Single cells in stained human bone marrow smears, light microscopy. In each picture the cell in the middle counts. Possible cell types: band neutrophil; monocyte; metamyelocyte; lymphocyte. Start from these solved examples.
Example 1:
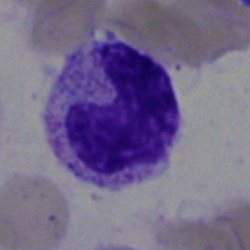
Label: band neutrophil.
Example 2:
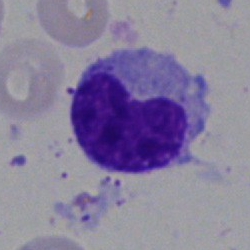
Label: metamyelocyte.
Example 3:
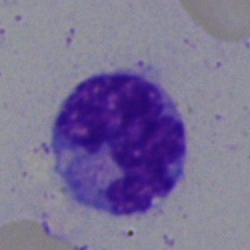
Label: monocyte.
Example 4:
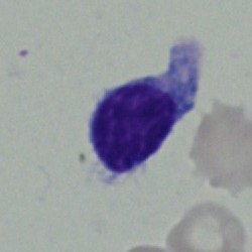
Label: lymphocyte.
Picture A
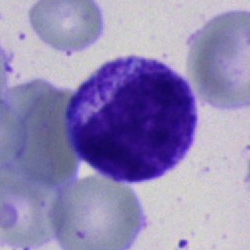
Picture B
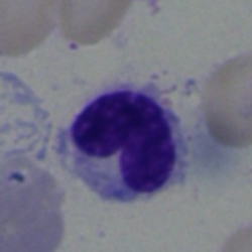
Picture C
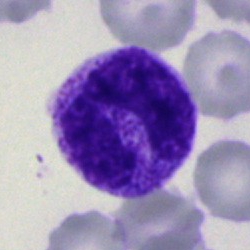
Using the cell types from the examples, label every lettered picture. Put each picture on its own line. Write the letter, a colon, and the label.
A: metamyelocyte.
B: band neutrophil.
C: band neutrophil.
